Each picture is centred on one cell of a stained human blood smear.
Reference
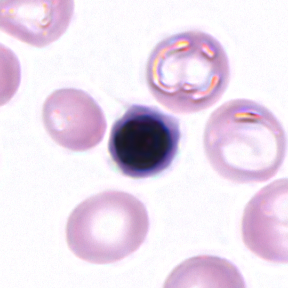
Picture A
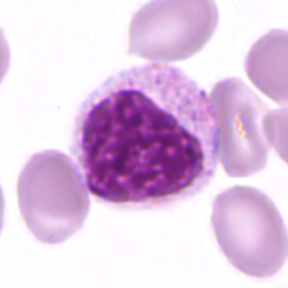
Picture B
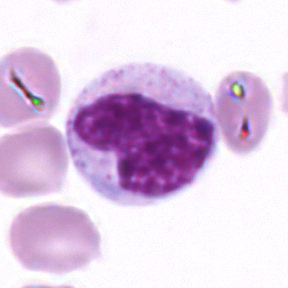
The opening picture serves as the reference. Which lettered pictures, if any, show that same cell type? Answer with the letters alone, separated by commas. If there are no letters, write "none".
none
